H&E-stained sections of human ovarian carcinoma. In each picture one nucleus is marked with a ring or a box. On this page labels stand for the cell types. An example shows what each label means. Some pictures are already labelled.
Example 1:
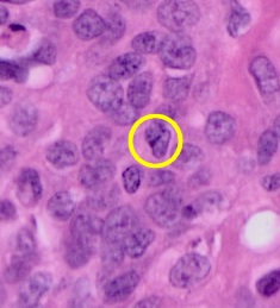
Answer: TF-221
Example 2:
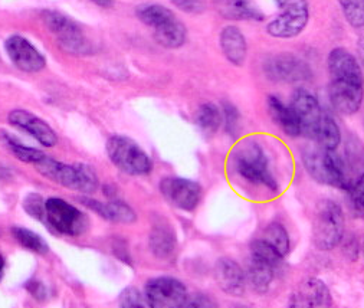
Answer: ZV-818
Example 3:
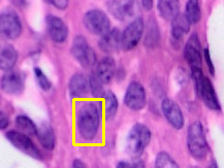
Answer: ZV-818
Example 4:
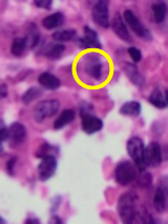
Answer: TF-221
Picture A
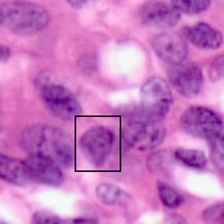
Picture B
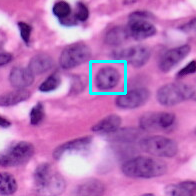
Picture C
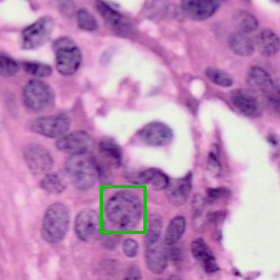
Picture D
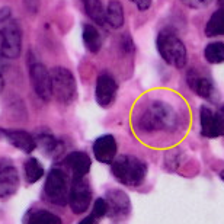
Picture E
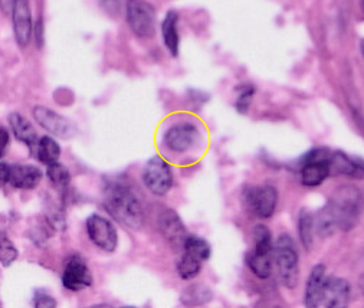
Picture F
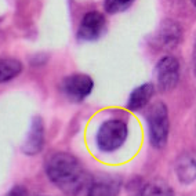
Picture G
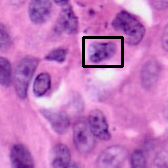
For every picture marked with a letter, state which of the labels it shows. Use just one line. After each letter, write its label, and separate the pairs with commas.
A ZV-818, B TF-221, C ZV-818, D TF-221, E TF-221, F ZV-818, G TF-221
